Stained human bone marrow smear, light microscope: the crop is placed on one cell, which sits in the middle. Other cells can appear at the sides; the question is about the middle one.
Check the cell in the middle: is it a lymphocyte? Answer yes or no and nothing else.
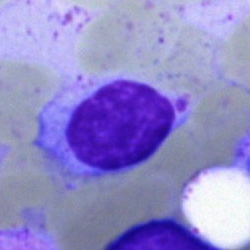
yes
